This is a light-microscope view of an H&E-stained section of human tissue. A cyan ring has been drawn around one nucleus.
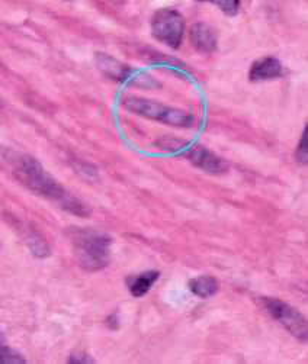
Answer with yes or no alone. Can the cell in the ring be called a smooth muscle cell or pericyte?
yes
